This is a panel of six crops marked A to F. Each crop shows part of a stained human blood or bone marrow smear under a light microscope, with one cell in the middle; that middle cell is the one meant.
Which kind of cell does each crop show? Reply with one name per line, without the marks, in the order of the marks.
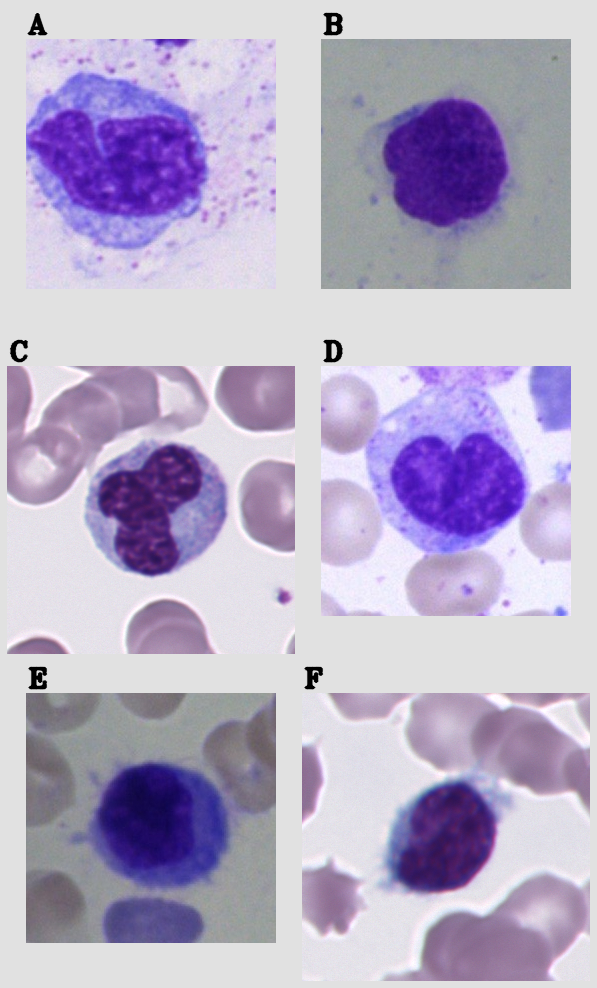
monocyte
hairy cell
monocyte
monocyte
hairy cell
hairy cell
